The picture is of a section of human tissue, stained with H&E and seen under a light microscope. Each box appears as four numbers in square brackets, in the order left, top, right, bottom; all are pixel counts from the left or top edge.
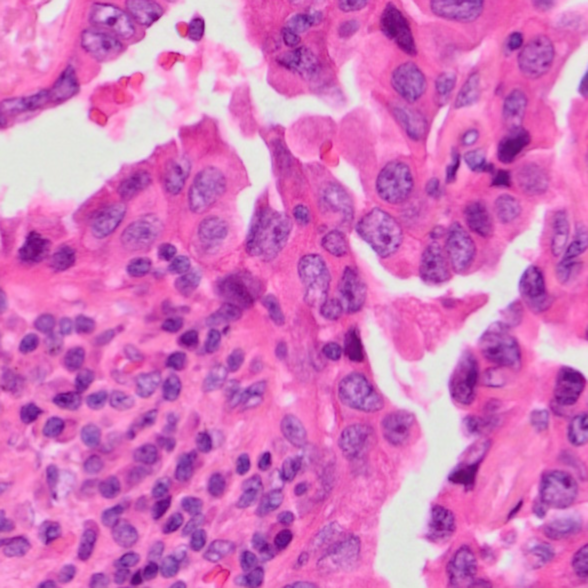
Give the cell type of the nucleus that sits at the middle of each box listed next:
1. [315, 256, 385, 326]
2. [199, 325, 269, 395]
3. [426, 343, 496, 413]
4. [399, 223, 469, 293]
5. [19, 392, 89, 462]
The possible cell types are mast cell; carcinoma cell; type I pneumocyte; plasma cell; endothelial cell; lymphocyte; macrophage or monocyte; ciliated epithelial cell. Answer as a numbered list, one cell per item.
1. carcinoma cell
2. lymphocyte
3. carcinoma cell
4. carcinoma cell
5. plasma cell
